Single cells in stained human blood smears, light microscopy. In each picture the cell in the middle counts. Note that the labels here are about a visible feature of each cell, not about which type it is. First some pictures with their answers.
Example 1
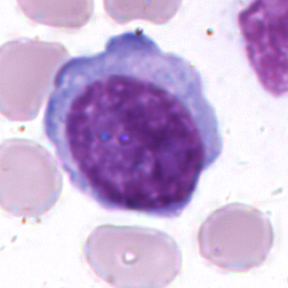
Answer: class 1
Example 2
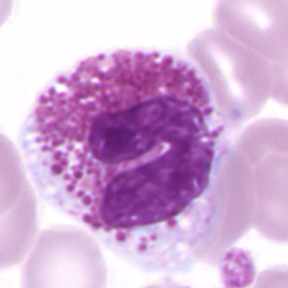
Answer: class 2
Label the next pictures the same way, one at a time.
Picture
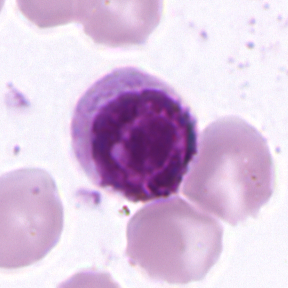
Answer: class 2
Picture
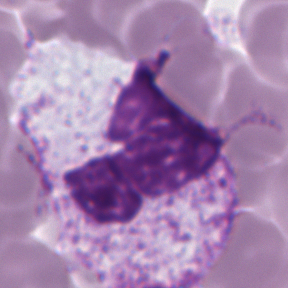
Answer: class 1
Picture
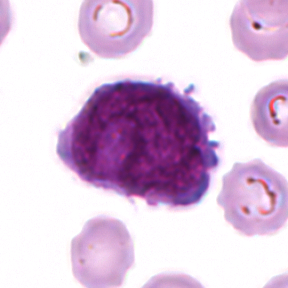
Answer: class 1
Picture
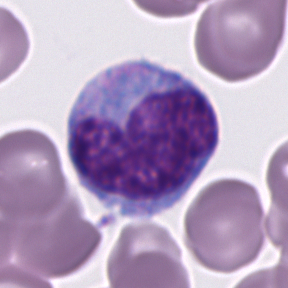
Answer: class 2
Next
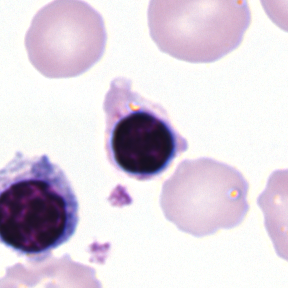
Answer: class 1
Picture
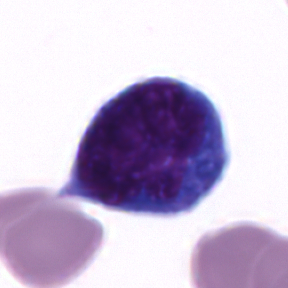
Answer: class 1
